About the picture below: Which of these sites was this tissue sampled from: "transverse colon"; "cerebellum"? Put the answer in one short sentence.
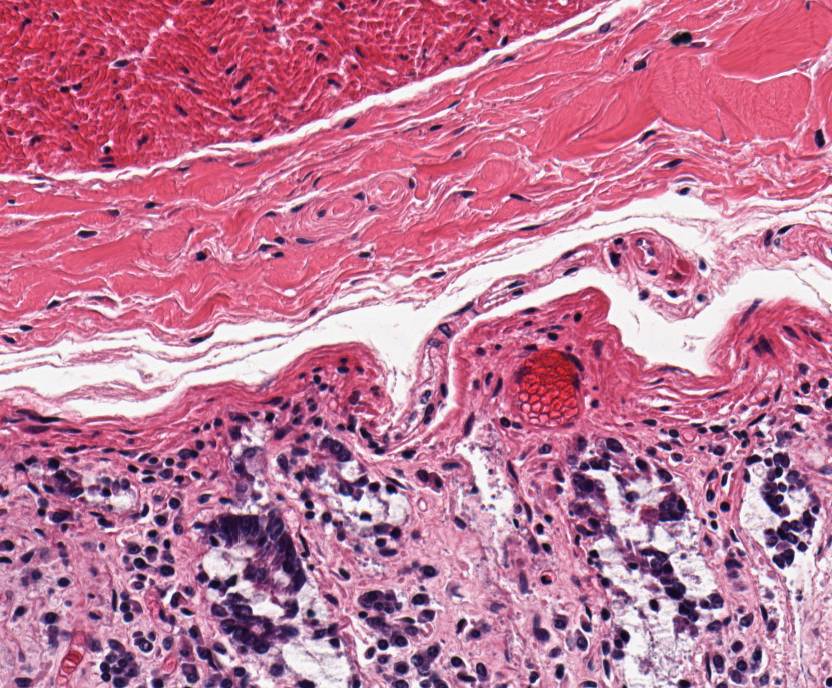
The site this tissue was sampled from is the transverse colon.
